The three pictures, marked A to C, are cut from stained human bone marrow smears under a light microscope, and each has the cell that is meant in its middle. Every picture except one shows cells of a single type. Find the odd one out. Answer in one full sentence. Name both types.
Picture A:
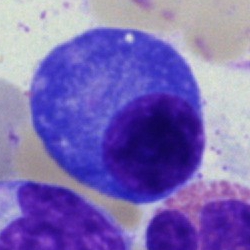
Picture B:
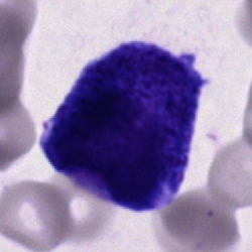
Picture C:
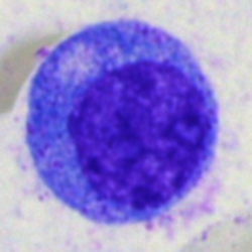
Picture A differs, because its cell is a plasma cell and the rest are promyelocytes.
